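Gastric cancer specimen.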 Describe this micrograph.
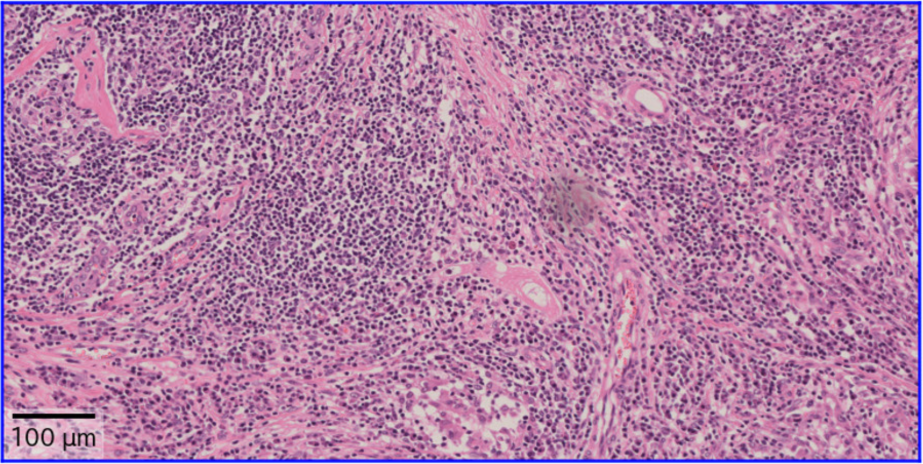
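Running through and between them are bands of pink fibrous stroma containing elongated spindle-shaped cells with slender nuclei, arranged in streaming fascicles, some of them resembling smooth muscle. Several small blood vessels with thick pink walls and narrow lumina lie within the stroma. Toward the right and lower parts the lymphocyte sheets thin out and mix with the spindle cells and scattered larger cells, giving a looser, more heterogeneous pattern.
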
